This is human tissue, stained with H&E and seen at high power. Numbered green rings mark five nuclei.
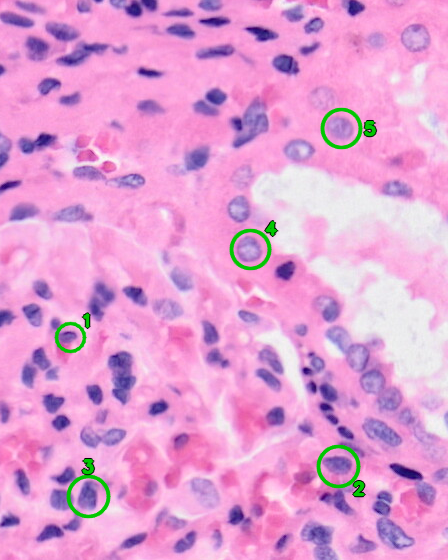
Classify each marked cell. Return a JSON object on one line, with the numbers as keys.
{"1": "endothelial cell", "2": "endothelial cell", "3": "endothelial cell", "4": "loop of Henle or distal tubule cell", "5": "proximal tubule cell"}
